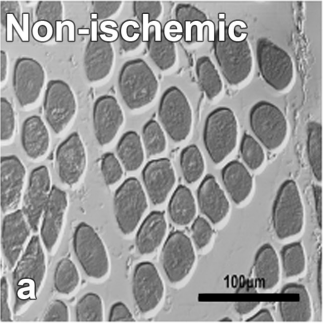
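In cross section, rounded and polygonal fiber profiles of fairly even size lie side by side, each with smooth borders and evenly stained, homogeneous cytoplasm, separated by pale interstitial spaces. These are intact skeletal muscle fibers.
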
